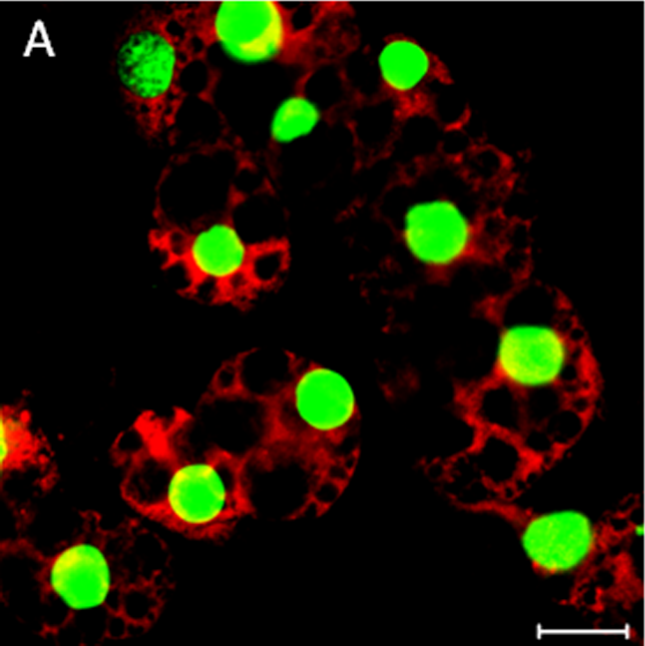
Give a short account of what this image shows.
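These are mature adipocytes in culture, crowded together, each with a single bright green round nucleus. The cytoplasm is marked by a red lacy network that surrounds numerous round, dark, unstained droplets of different sizes. The nuclei often sit eccentrically, pressed against the droplets. The red stain is relatively faint and patchy rather than filling the cytoplasm.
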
